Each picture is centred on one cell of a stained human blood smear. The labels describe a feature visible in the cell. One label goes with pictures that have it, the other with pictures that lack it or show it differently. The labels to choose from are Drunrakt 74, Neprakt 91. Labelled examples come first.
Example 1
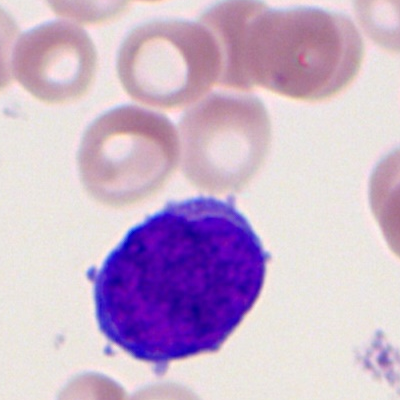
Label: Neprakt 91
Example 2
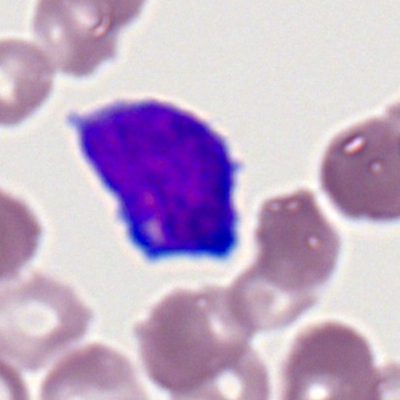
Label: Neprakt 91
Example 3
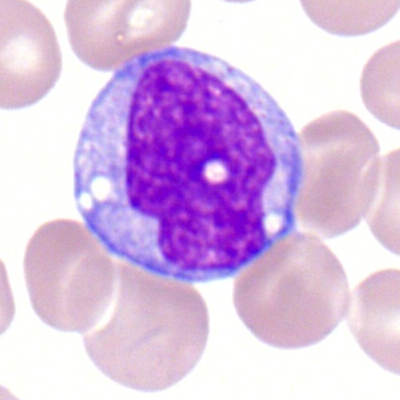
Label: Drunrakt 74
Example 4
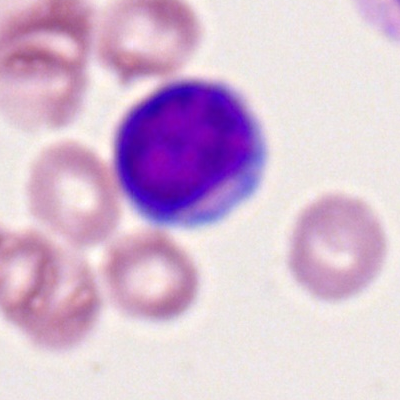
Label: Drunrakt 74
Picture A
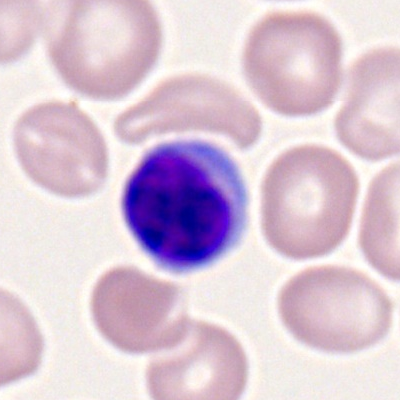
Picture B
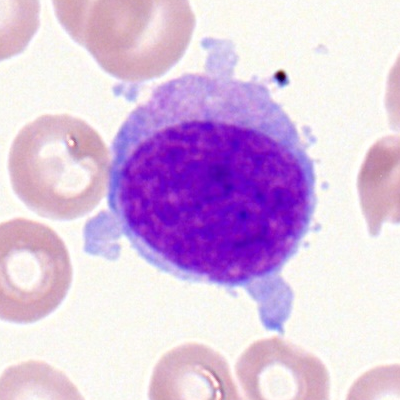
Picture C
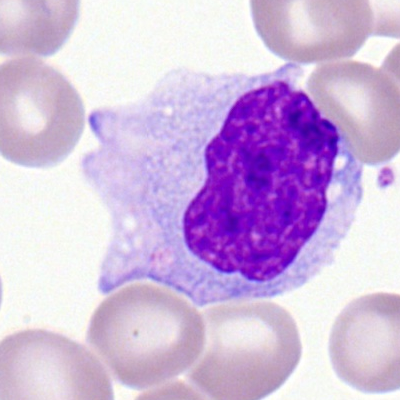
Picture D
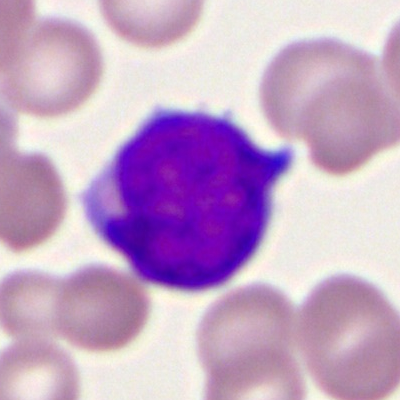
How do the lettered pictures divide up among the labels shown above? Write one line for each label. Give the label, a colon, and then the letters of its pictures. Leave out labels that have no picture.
Drunrakt 74: A
Neprakt 91: B, C, D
